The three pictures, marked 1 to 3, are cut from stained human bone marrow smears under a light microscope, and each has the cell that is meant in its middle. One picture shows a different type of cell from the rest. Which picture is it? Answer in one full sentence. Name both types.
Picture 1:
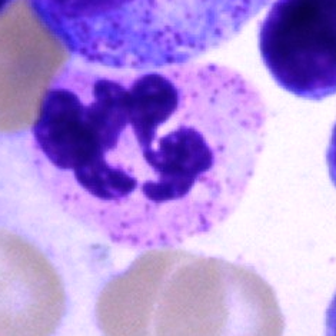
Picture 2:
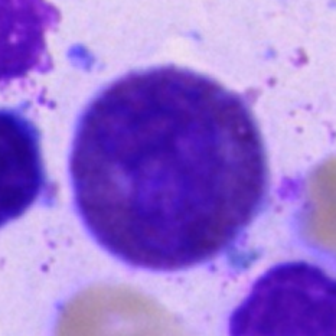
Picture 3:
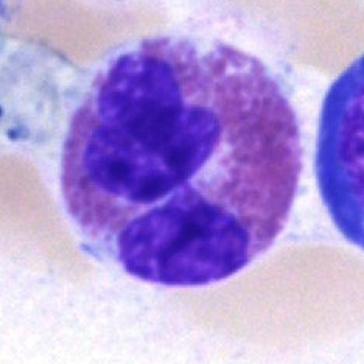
All pictures except 1 show eosinophils; picture 1 shows a segmented neutrophil.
